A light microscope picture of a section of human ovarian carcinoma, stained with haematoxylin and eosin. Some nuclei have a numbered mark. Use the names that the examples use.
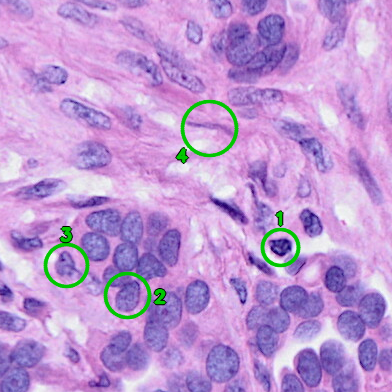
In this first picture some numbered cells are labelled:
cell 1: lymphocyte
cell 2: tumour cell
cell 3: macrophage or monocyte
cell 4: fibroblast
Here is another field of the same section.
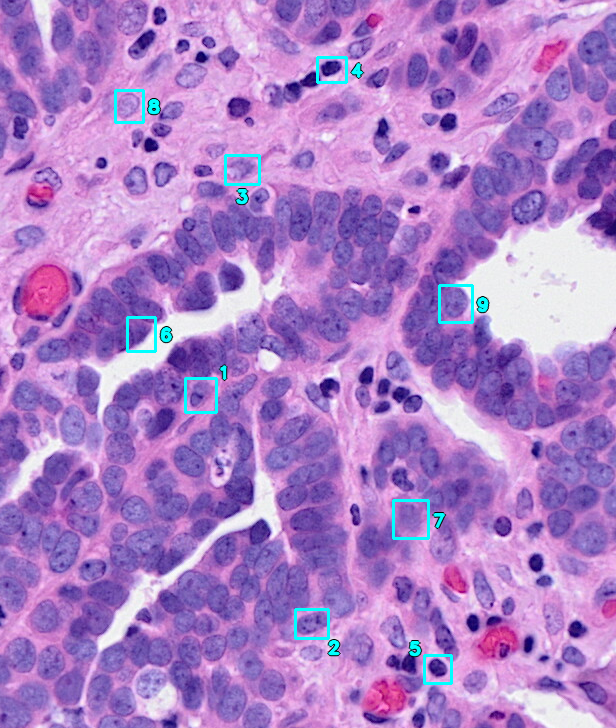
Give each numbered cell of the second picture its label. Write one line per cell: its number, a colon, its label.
1: macrophage or monocyte
2: macrophage or monocyte
3: fibroblast
4: lymphocyte
5: lymphocyte
6: tumour cell
7: tumour cell
8: fibroblast
9: tumour cell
